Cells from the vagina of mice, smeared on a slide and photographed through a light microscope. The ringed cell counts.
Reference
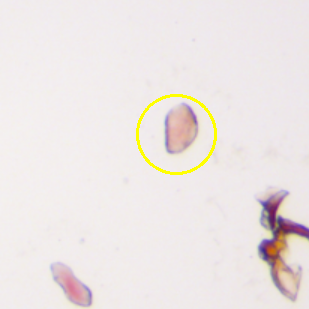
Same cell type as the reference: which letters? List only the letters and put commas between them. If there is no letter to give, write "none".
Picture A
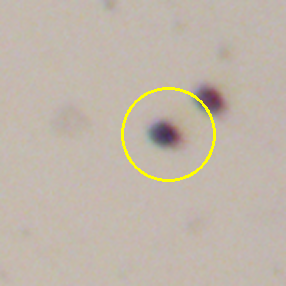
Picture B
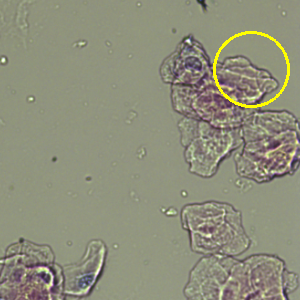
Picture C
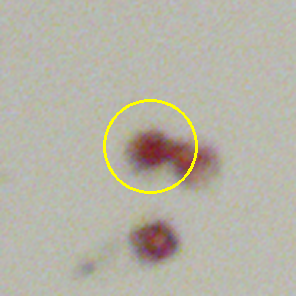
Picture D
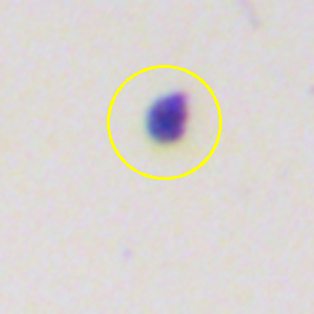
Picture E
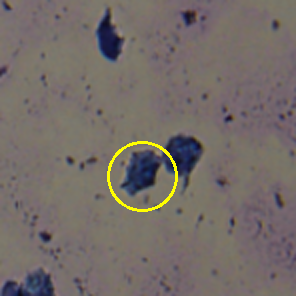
B, E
